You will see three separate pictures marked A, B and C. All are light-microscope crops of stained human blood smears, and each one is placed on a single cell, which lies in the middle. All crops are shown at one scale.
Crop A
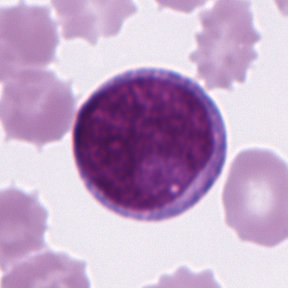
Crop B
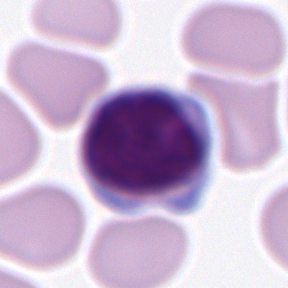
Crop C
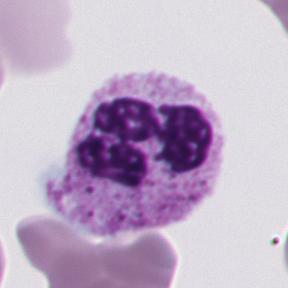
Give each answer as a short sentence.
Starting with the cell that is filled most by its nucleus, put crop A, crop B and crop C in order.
The most filled comes first: A, B, C.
